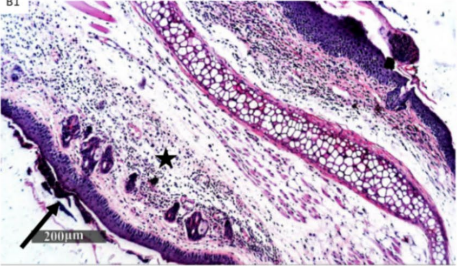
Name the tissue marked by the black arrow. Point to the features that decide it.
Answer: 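The arrow points to the dark purple cellular band at the outer surface of the section.
Hence: Epidermal layer.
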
